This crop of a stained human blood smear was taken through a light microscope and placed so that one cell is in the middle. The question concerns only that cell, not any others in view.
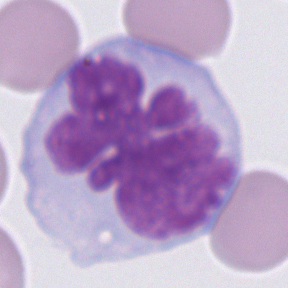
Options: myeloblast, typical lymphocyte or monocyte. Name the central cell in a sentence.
Answering briefly, the cell in the middle is a monocyte.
